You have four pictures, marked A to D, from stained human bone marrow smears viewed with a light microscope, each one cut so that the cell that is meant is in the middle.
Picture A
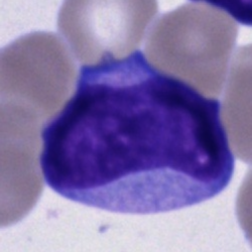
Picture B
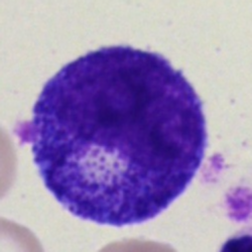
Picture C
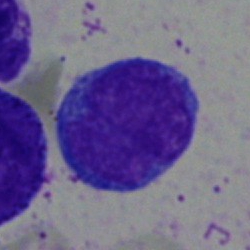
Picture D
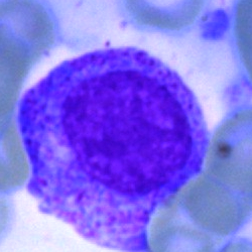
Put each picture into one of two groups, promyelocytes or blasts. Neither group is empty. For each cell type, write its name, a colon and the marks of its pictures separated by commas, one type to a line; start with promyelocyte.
promyelocyte: B, D
blast: A, C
